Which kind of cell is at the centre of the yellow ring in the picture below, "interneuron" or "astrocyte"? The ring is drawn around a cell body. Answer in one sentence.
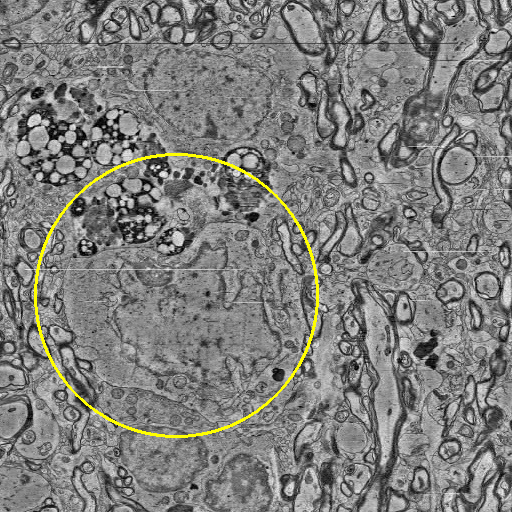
The ring's central cell is an interneuron.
